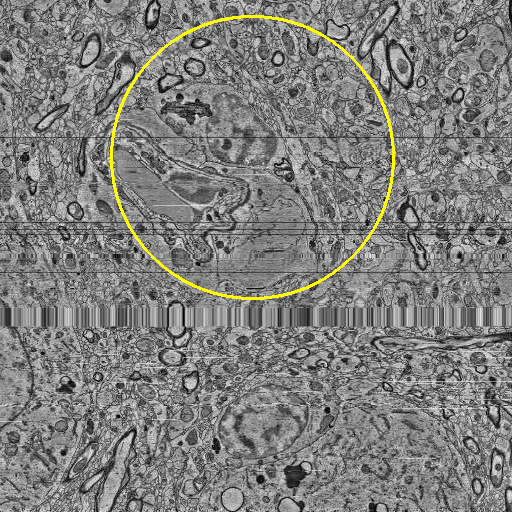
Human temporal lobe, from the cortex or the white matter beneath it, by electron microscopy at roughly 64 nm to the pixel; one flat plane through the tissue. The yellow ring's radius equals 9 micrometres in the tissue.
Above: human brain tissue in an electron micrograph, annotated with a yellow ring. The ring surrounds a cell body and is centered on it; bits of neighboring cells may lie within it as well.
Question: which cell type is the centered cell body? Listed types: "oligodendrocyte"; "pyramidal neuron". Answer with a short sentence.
The centered cell body is an oligodendrocyte.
